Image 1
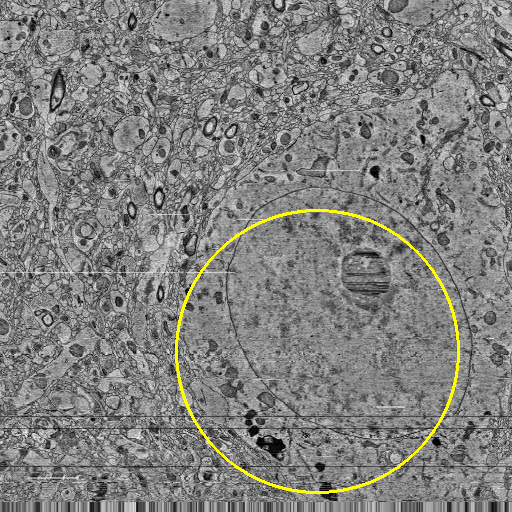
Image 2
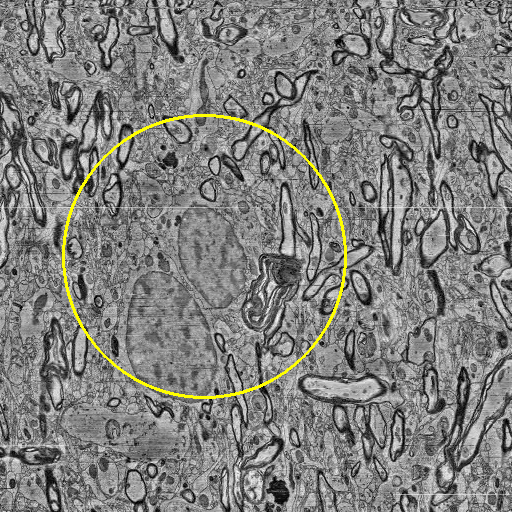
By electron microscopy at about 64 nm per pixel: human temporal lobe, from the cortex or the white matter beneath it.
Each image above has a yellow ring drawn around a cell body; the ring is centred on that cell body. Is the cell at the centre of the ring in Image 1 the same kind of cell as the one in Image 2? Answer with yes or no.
no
